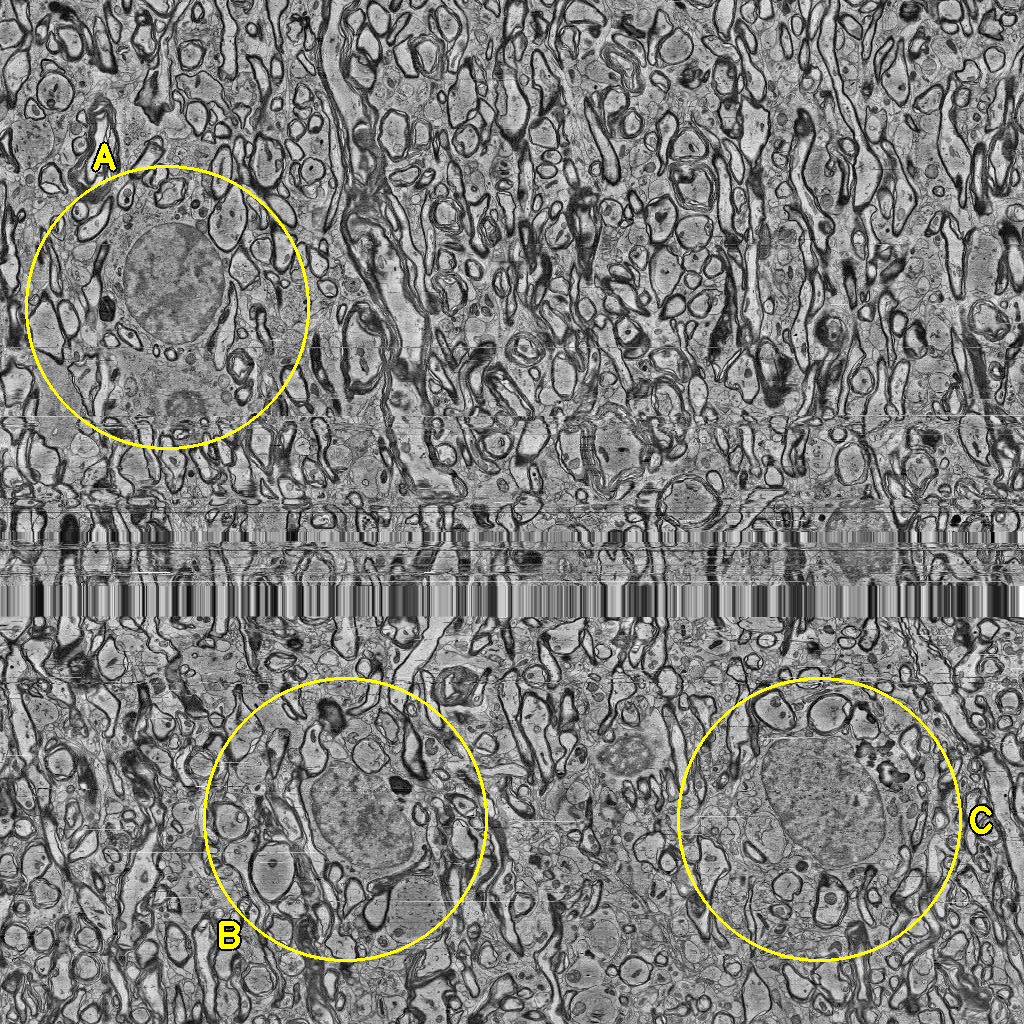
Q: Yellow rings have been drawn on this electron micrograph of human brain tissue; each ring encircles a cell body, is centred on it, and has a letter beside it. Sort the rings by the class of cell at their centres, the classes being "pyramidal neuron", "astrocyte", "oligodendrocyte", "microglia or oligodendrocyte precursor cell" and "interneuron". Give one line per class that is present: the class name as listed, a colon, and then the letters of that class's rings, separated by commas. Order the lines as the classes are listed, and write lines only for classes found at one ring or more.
oligodendrocyte: A, B, C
